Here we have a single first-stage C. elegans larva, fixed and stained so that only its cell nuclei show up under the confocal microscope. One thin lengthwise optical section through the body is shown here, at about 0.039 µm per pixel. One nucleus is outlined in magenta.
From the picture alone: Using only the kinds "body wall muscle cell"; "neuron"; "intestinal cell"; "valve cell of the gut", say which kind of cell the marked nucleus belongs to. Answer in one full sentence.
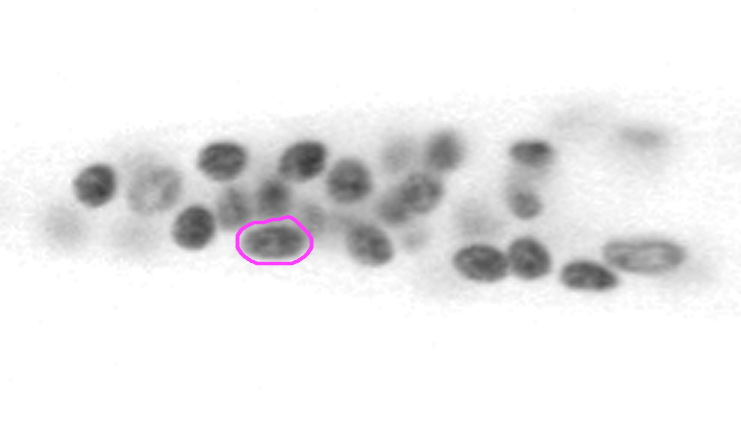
The nucleus comes from a body wall muscle cell.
